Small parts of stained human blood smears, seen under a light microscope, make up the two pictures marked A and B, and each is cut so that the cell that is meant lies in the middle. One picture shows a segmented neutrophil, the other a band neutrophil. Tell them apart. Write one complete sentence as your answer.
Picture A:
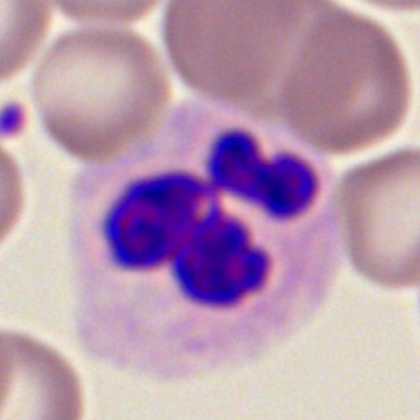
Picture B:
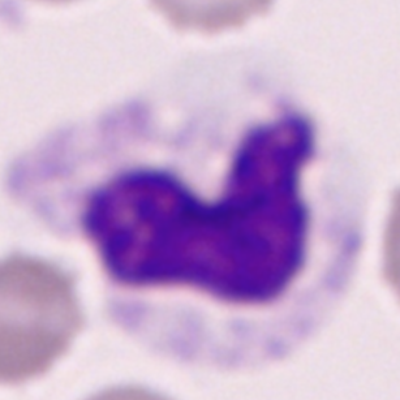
It is picture A that shows a segmented neutrophil, and picture B that shows a band neutrophil.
